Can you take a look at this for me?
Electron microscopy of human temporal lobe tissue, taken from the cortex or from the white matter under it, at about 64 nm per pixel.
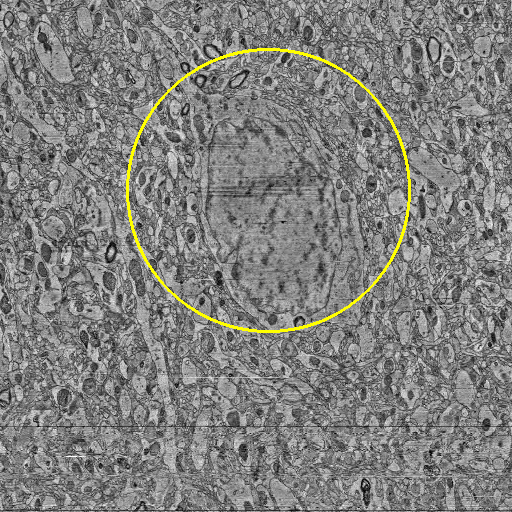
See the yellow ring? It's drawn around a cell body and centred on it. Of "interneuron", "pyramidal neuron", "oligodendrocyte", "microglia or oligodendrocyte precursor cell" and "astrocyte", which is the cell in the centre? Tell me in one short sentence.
The one in the centre is an interneuron.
